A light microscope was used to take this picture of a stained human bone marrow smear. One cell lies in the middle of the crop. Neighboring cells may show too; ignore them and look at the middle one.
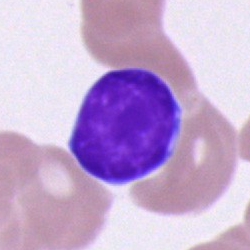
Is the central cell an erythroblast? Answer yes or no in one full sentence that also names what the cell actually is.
No, that guess of an erythroblast misses; the central cell is a lymphocyte.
